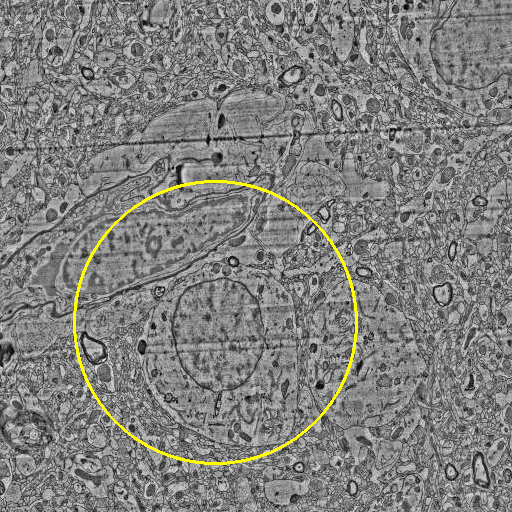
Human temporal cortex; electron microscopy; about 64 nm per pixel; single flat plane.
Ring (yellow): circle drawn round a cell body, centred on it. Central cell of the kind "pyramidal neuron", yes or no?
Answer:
yes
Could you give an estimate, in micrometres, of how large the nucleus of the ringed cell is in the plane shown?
Approximately 7 x 6 micrometres in this plane.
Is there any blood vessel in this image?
Yes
